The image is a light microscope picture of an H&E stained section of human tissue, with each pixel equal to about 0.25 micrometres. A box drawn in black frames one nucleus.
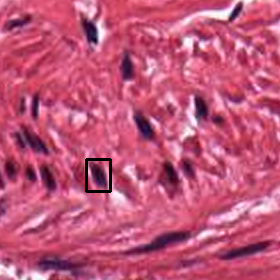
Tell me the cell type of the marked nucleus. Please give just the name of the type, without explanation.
smooth muscle cell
